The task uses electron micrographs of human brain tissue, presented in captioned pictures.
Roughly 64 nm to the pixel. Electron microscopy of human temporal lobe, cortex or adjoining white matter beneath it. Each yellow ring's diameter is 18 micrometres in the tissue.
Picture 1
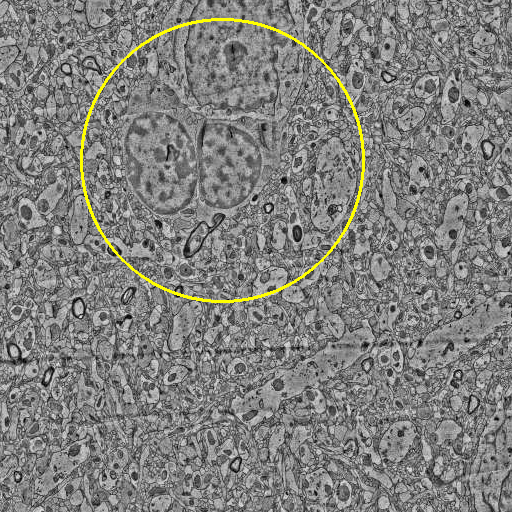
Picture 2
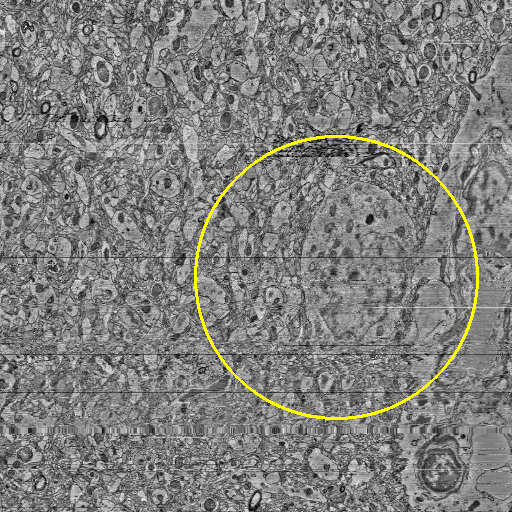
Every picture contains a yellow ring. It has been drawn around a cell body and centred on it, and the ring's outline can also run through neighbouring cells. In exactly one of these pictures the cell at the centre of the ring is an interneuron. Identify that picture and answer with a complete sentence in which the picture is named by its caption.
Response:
The ring in Picture 2 is centred on that kind of cell.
